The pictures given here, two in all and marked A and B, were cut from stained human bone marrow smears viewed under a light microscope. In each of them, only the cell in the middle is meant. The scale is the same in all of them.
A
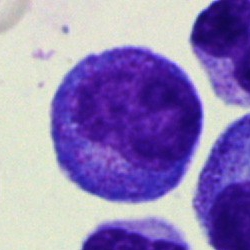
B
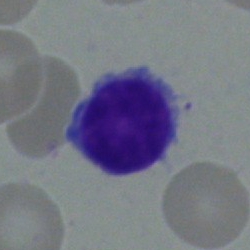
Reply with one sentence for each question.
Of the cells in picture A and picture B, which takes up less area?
It is the cell in picture B; the cell in picture A has about 2 times its area.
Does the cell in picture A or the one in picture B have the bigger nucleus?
Larger is the nucleus in picture A, at roughly 1.5 times the area of the other.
